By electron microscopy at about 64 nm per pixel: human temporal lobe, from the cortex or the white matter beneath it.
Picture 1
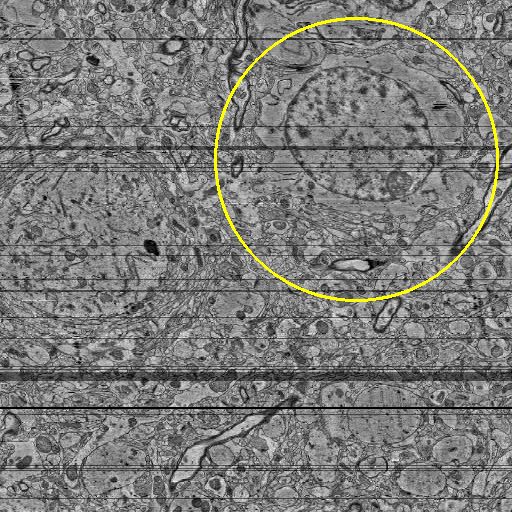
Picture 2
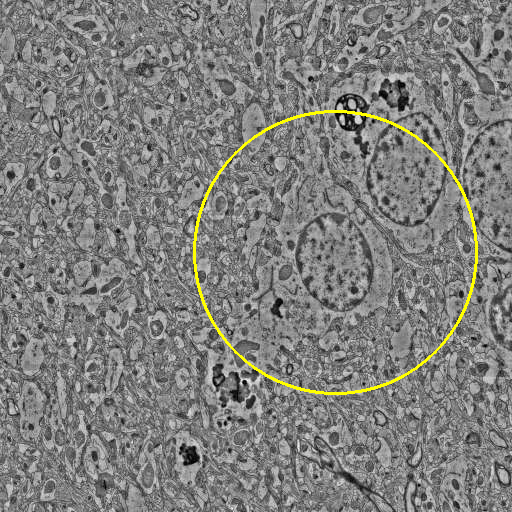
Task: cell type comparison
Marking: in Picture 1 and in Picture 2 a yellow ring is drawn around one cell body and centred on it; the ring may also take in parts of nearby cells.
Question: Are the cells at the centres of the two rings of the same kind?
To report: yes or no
yes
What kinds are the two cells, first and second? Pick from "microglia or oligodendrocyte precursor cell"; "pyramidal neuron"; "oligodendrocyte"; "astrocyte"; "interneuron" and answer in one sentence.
In each of the two pictures, the ringed cell is an astrocyte.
